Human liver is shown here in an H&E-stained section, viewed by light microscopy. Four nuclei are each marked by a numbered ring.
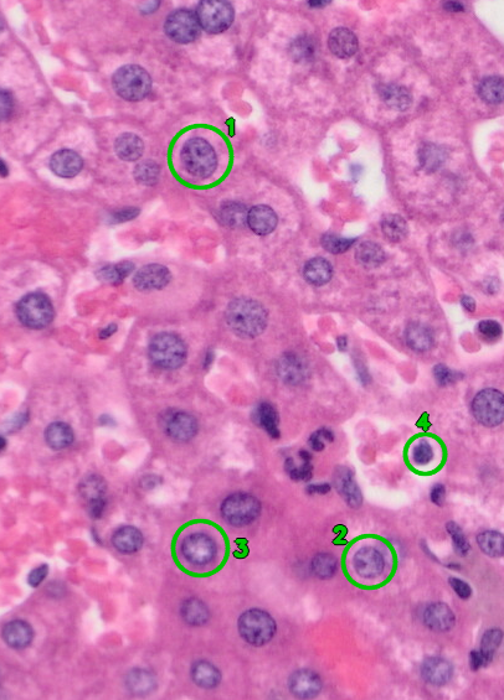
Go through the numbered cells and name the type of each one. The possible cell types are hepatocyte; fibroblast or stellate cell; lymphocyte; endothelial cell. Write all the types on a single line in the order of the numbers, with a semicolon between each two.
hepatocyte; hepatocyte; hepatocyte; lymphocyte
